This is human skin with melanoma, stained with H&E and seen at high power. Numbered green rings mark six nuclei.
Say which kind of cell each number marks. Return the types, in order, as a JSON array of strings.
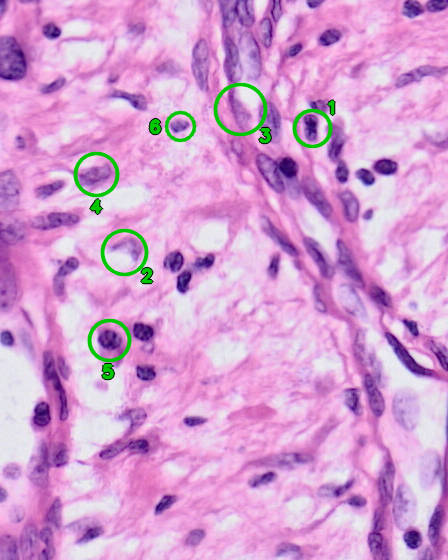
["lymphocyte", "fibroblast or myofibroblast", "endothelial cell", "fibroblast or myofibroblast", "plasma cell", "lymphocyte"]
